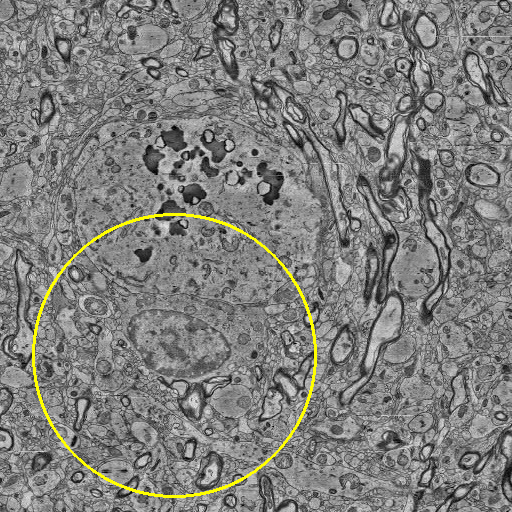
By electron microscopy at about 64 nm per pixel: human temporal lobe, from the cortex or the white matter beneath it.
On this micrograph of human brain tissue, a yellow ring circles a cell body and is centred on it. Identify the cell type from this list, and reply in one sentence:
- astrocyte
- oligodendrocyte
The cell at the centre is an oligodendrocyte.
